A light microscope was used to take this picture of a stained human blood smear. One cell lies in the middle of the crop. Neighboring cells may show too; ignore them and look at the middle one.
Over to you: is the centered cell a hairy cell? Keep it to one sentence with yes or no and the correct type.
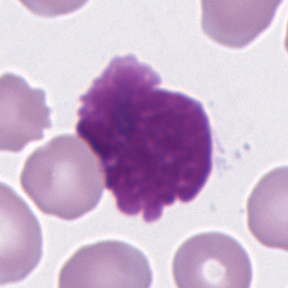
No, the central cell does not represent a hairy cell, but a smudge cell.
